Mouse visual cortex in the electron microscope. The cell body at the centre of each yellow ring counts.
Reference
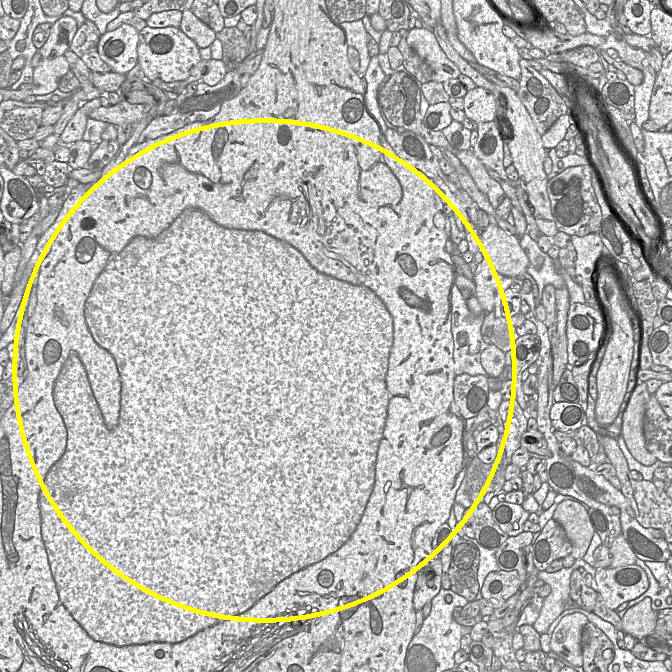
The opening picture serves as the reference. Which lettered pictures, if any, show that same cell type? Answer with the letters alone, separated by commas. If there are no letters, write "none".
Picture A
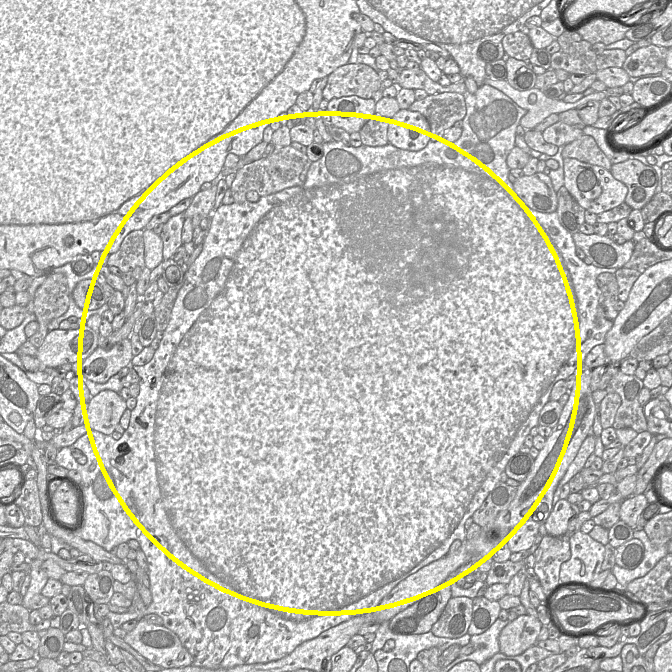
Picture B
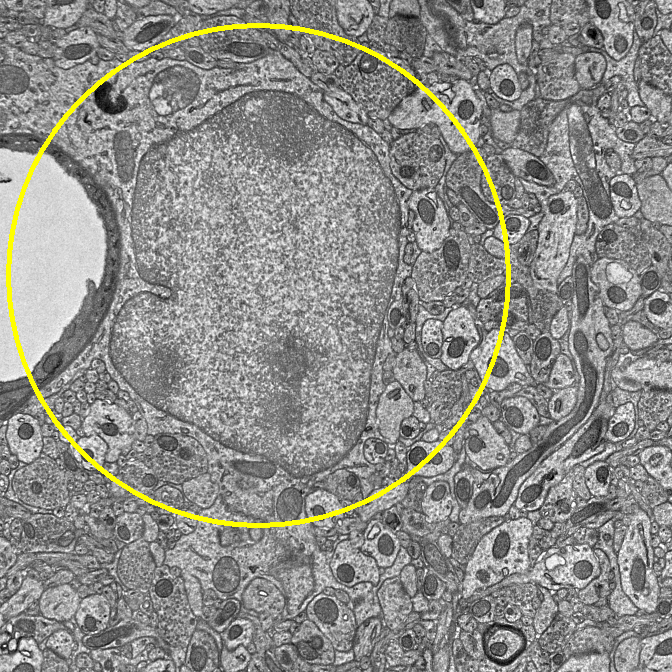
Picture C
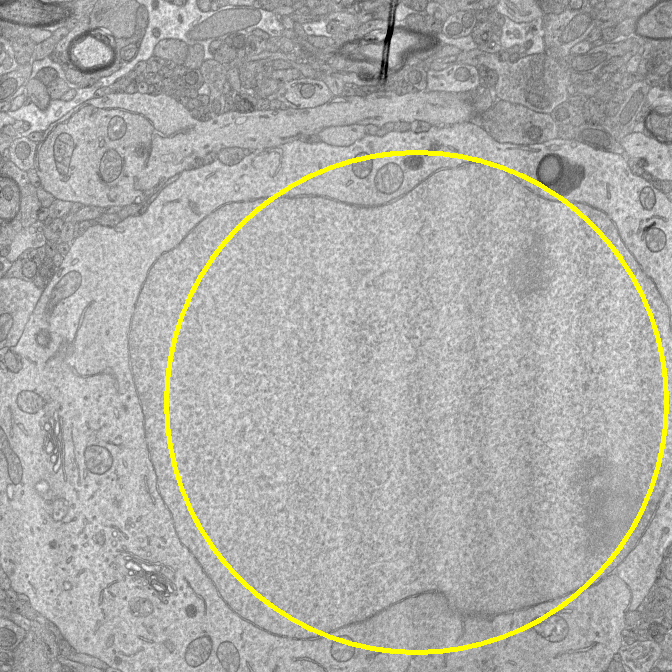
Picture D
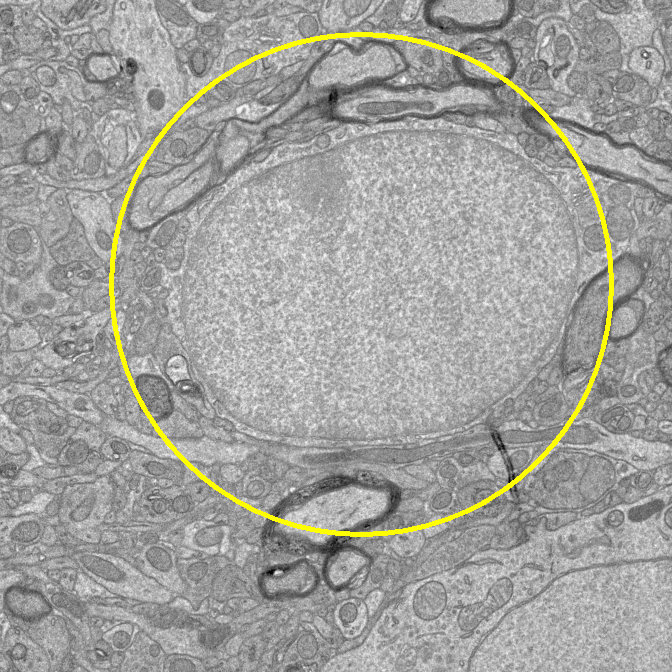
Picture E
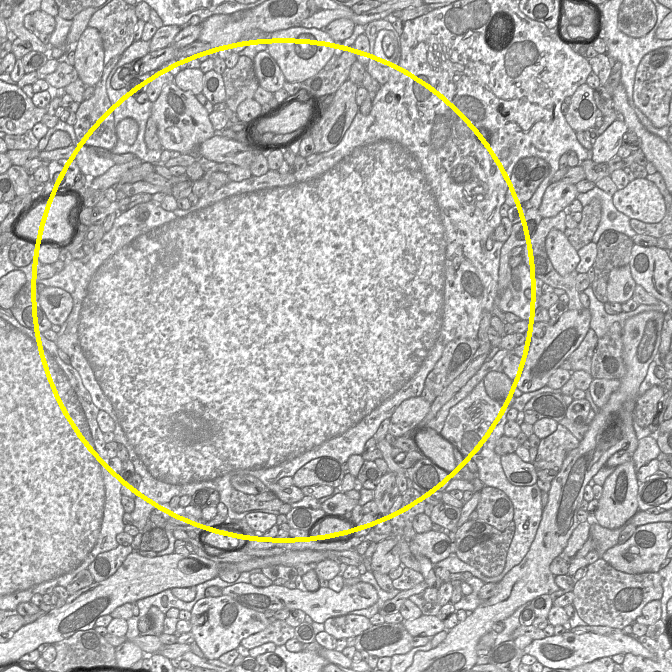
C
